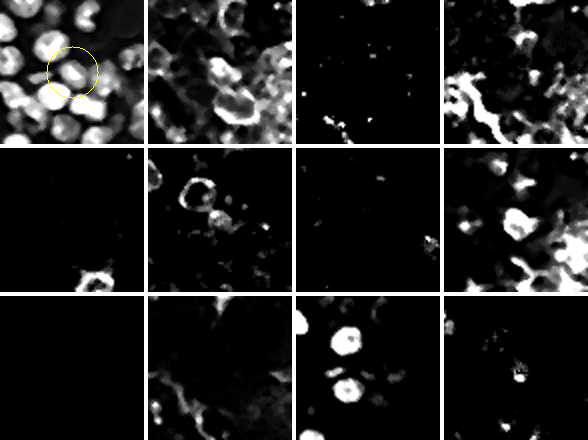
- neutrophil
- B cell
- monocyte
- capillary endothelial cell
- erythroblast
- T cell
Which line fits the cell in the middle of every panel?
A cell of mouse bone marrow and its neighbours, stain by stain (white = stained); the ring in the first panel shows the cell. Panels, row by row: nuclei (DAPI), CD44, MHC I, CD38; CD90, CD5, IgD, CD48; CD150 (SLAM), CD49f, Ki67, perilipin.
monocyte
